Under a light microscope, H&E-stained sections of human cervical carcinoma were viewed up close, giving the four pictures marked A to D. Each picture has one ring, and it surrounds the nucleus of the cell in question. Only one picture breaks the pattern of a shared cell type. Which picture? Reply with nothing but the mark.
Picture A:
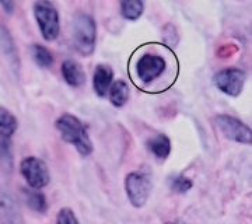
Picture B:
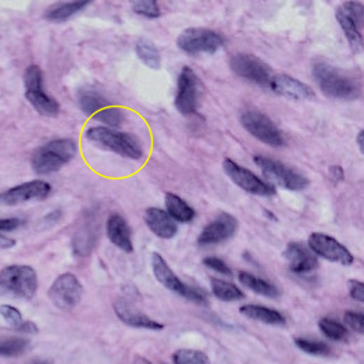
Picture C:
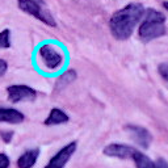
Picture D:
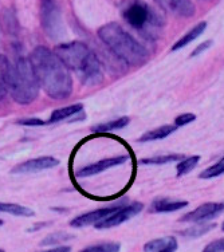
A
